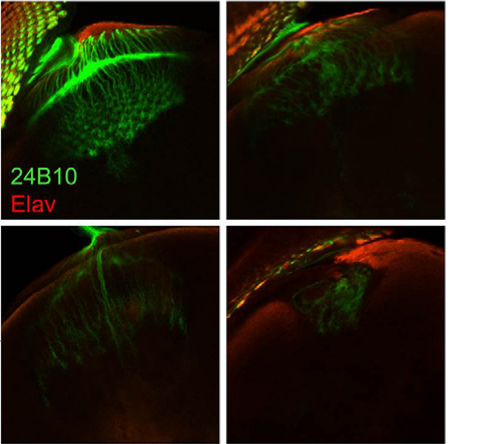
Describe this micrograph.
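In the best-preserved view, a field of regularly spaced green clusters at the upper left gives rise to axon bundles that sweep into the brain and fan out into an orderly array of terminals in the underlying tissue. In the other views the green projections are sparser, thinner or fewer. In the last view the green fibres form only a small, compact tangle beneath the surface instead of a spread-out array.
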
